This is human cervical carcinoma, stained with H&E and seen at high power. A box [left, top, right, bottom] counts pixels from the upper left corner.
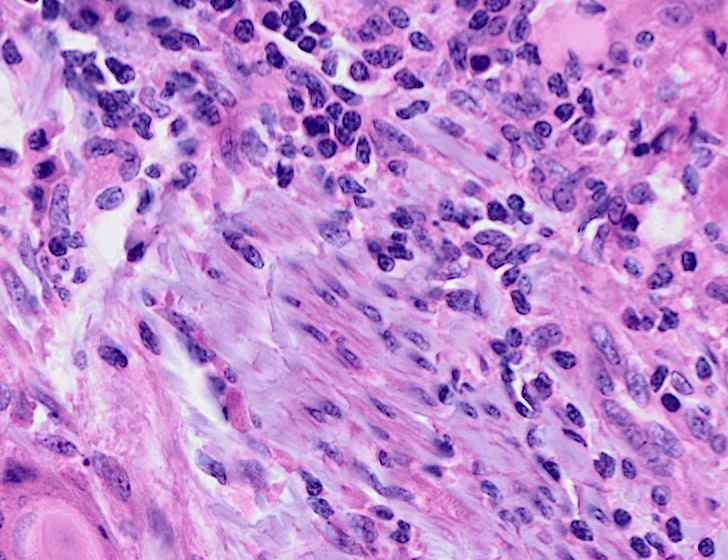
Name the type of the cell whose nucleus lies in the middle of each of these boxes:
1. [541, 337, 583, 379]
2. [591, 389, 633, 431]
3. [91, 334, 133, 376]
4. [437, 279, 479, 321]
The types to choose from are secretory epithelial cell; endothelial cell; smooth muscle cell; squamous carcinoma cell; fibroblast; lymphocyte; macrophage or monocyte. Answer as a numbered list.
1. lymphocyte
2. endothelial cell
3. lymphocyte
4. lymphocyte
